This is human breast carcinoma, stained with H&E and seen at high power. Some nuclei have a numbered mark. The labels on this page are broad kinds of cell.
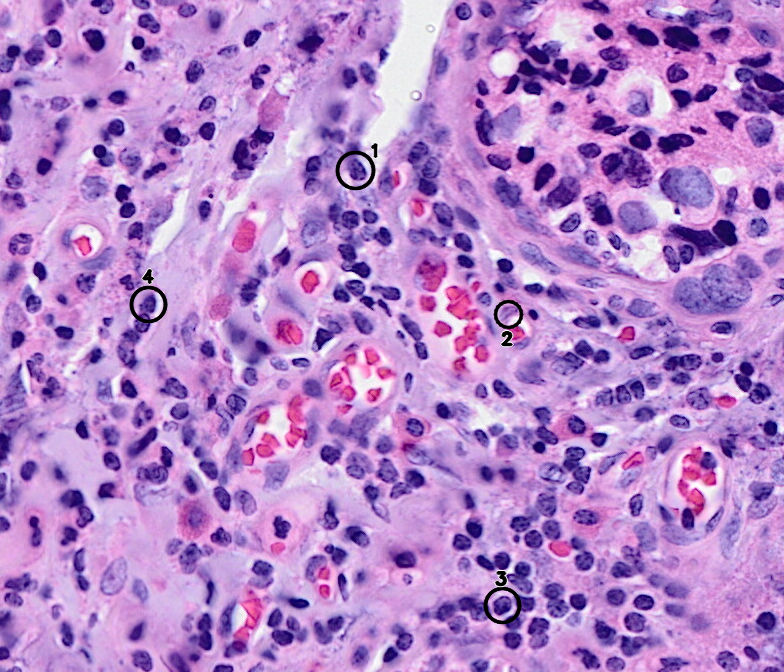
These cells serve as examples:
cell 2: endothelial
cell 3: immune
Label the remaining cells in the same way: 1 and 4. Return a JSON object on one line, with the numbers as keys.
{"1": "immune", "4": "immune"}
